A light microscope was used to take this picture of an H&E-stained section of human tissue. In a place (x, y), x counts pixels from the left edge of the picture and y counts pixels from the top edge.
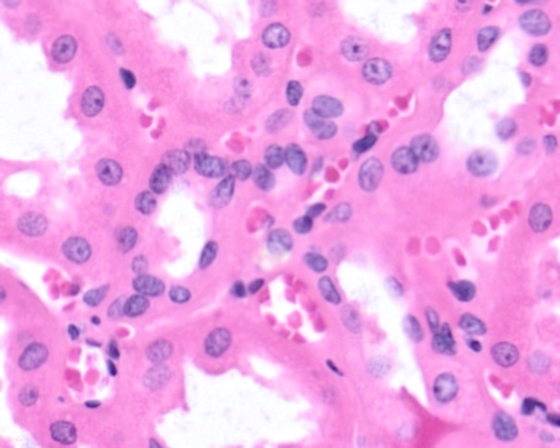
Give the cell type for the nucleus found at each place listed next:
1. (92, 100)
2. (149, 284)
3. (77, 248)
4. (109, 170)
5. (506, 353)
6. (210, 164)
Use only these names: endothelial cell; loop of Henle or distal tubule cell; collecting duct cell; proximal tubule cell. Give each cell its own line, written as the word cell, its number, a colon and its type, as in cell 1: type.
cell 1: proximal tubule cell
cell 2: collecting duct cell
cell 3: proximal tubule cell
cell 4: proximal tubule cell
cell 5: proximal tubule cell
cell 6: collecting duct cell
